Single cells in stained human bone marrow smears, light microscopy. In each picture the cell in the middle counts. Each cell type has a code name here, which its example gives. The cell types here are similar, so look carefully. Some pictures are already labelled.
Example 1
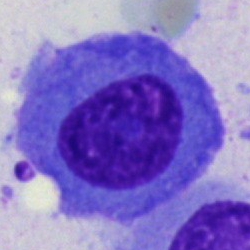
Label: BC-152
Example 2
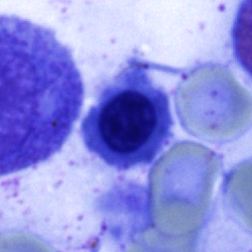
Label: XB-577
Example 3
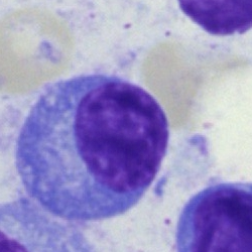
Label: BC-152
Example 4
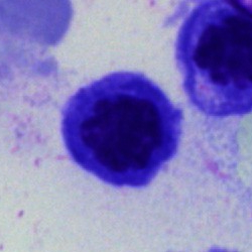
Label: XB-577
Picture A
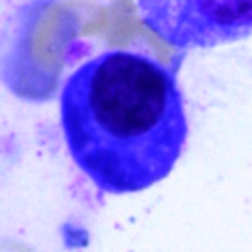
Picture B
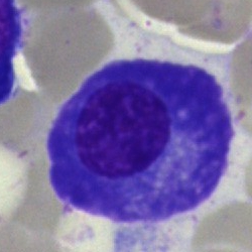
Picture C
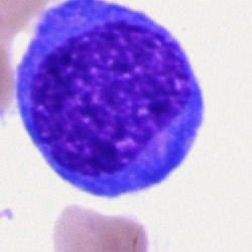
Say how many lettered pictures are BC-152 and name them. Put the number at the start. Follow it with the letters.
2, namely A, B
